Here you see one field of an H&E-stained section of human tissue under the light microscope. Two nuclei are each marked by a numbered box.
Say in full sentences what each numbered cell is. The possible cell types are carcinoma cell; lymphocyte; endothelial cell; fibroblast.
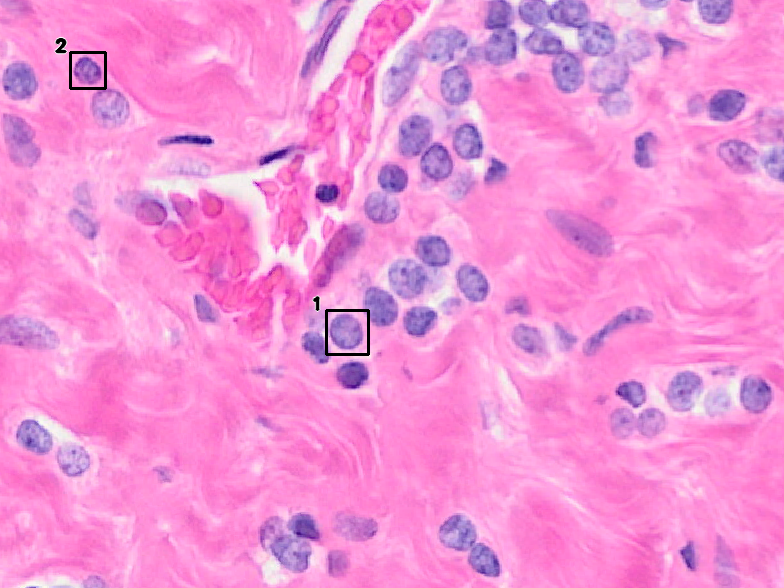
Cell 1 is a carcinoma cell and cell 2 is a lymphocyte.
